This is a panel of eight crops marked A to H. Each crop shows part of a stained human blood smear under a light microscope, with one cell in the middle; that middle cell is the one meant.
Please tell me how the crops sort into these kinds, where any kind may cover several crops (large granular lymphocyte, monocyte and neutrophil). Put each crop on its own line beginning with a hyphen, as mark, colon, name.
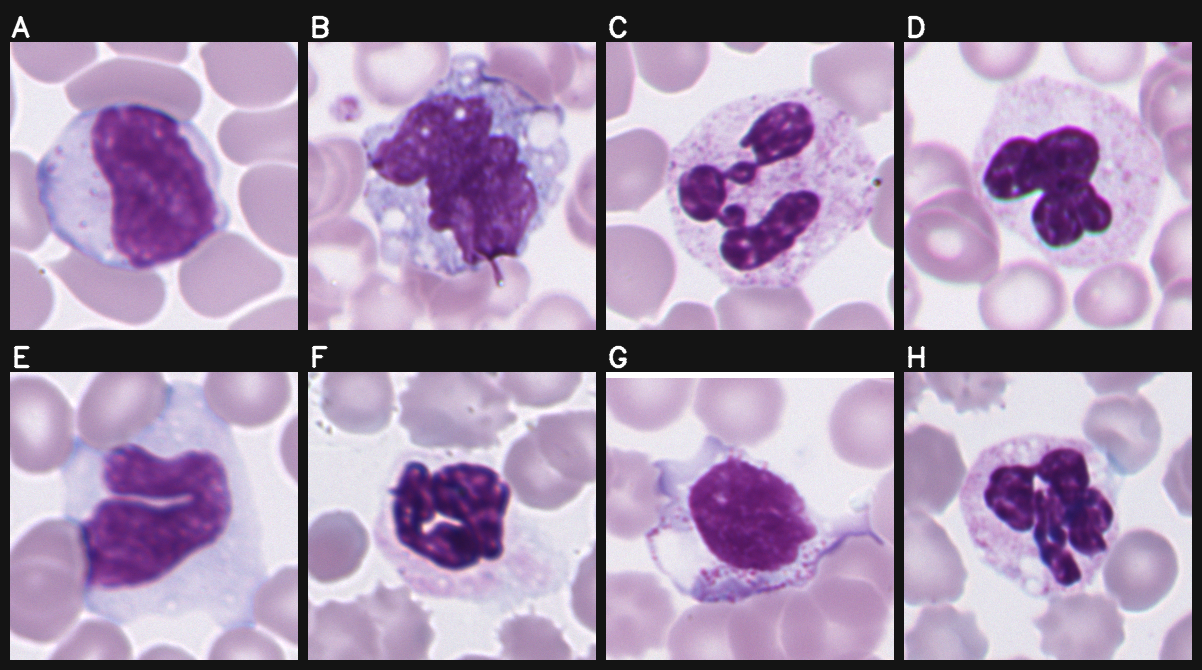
- A: large granular lymphocyte
- B: monocyte
- C: neutrophil
- D: neutrophil
- E: monocyte
- F: neutrophil
- G: large granular lymphocyte
- H: neutrophil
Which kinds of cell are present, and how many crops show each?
neutrophil: 4
large granular lymphocyte: 2
monocyte: 2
